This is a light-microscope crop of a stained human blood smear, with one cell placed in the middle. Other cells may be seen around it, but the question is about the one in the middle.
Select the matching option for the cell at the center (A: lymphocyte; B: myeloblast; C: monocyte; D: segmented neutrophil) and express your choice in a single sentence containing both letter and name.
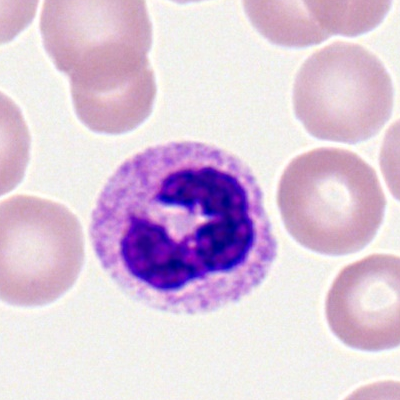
The cell in the middle is a segmented neutrophil, and that makes option D correct.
